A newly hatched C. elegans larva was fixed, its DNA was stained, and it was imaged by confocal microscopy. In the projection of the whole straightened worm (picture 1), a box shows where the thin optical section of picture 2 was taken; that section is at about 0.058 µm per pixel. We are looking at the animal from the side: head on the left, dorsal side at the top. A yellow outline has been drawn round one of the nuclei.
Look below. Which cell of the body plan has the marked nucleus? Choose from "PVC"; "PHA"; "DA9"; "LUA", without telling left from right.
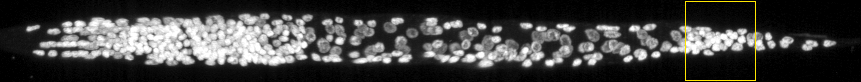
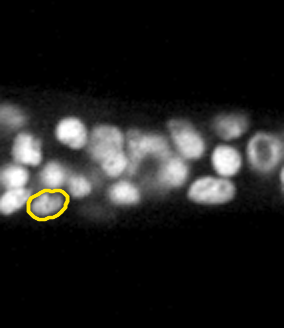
DA9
